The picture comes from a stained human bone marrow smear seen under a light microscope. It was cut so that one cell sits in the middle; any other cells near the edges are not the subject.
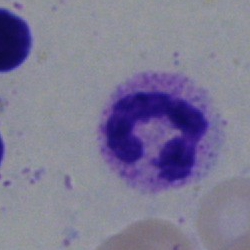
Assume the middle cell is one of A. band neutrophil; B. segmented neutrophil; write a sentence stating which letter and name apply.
Option B is the right one, for the cell in the middle is a segmented neutrophil.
